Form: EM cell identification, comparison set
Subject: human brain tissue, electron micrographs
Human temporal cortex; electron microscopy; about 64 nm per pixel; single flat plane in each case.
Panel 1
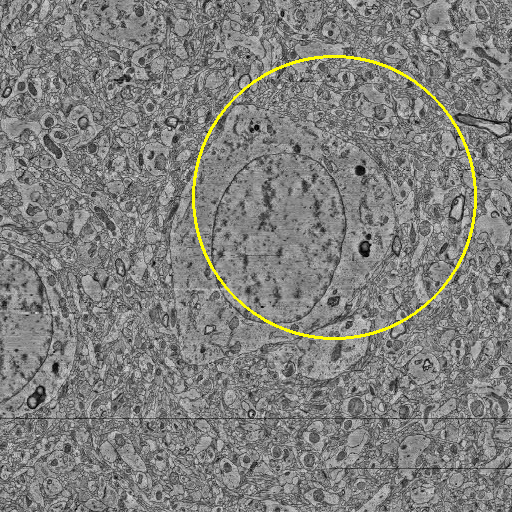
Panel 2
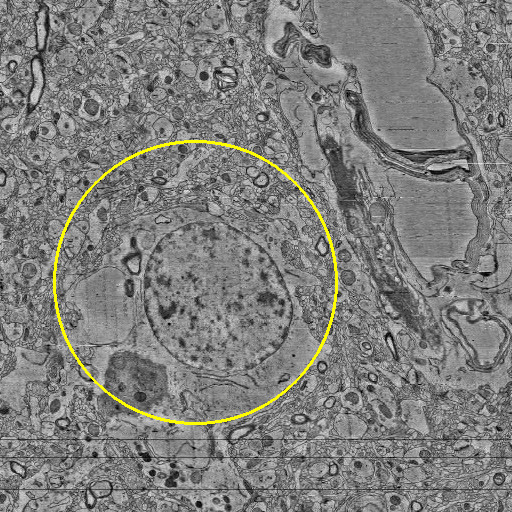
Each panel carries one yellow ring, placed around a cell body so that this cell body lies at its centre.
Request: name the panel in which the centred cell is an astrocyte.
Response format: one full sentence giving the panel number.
Panel 2 has it at the centre of its ring.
